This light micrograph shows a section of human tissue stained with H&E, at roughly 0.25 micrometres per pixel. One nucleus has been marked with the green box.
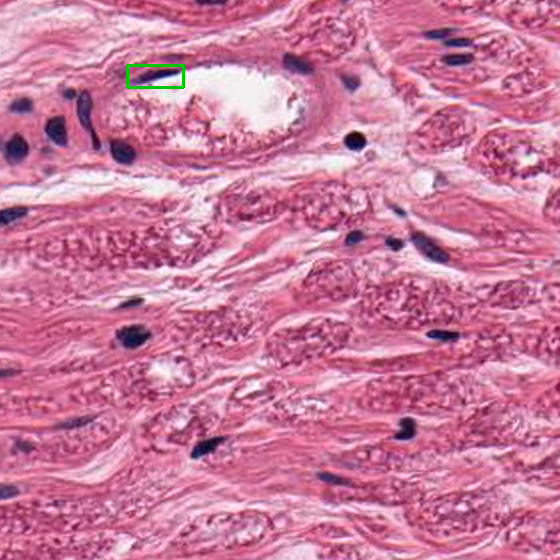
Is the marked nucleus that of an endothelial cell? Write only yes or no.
yes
